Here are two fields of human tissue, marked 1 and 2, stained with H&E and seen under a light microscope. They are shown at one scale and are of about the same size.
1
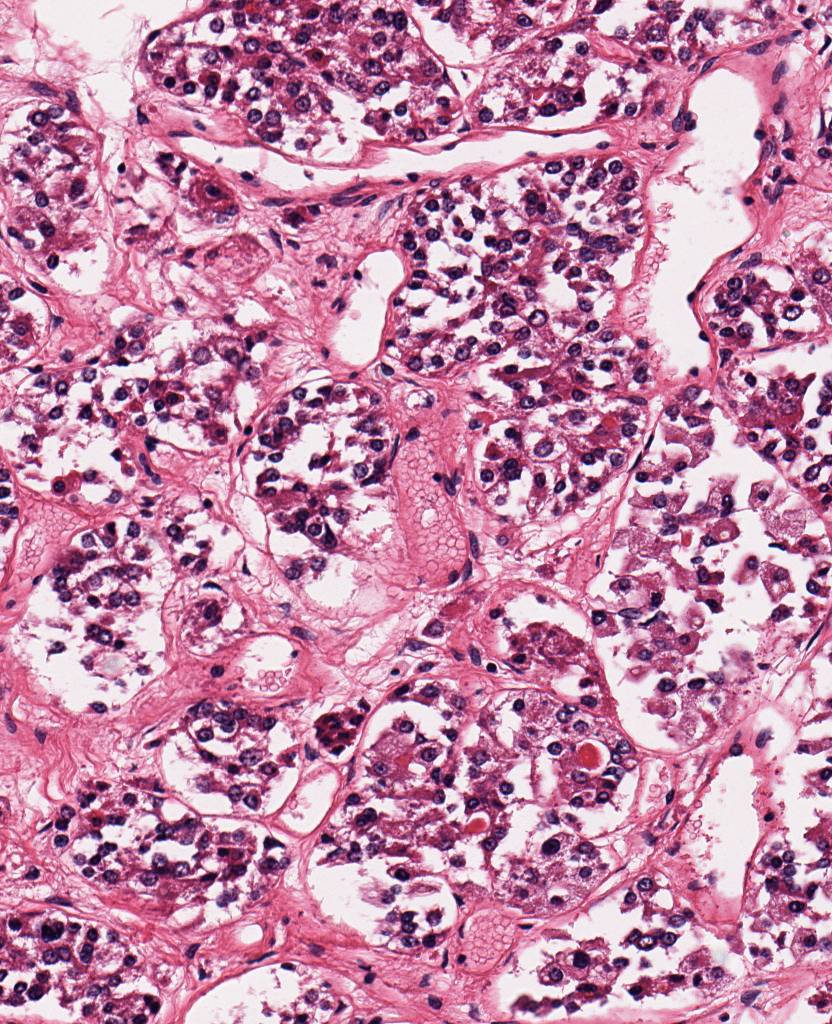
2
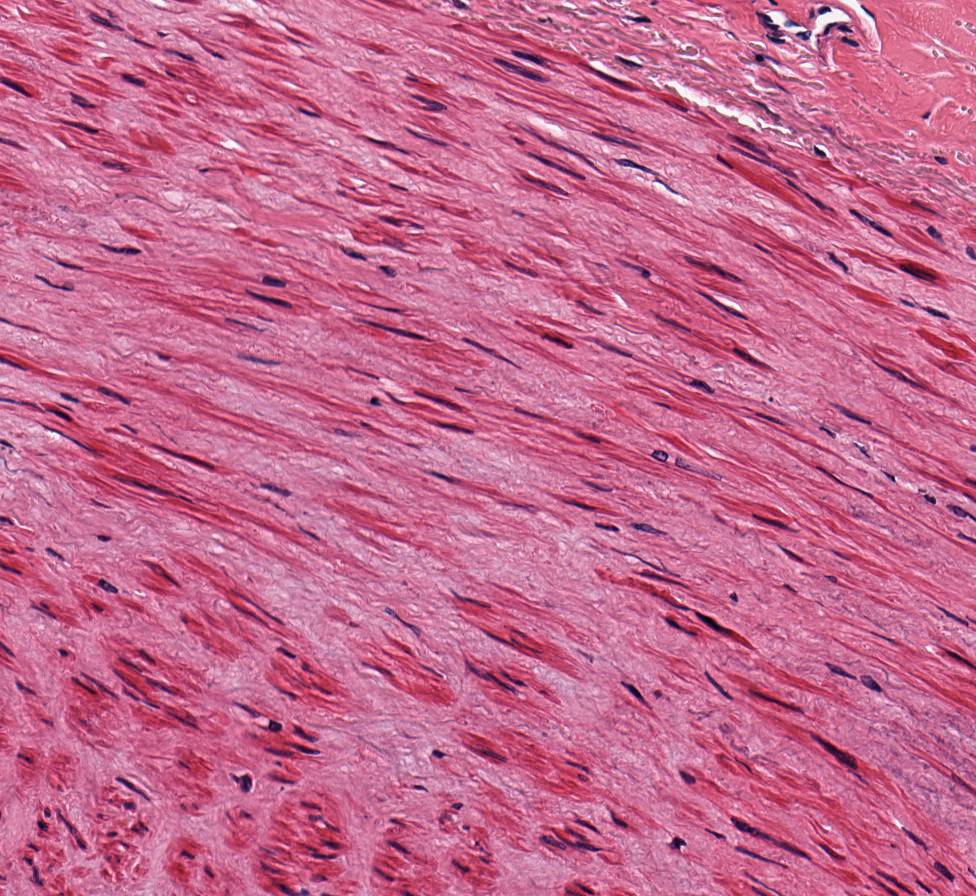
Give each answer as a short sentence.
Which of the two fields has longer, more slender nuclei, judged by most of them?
The nuclei are more elongated in field 2.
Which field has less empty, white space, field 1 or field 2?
Unstained space takes up less of field 2 than of field 1.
